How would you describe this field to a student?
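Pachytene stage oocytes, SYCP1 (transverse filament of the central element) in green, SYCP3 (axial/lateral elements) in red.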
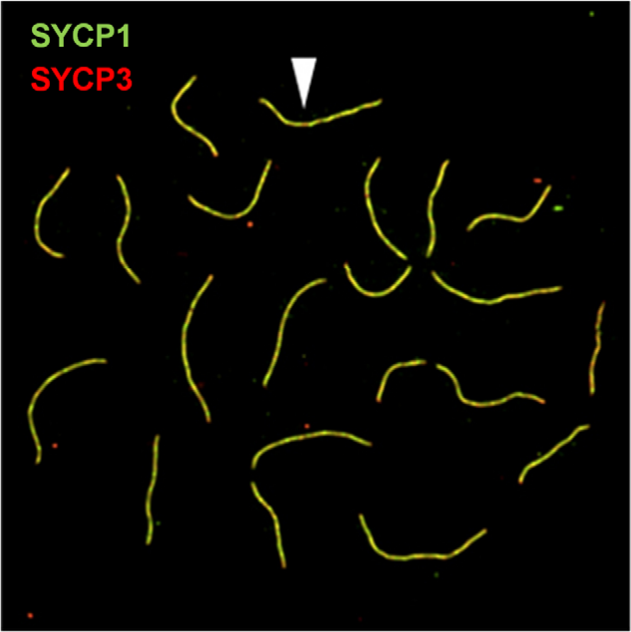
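The red and green labels overlap evenly along every thread, so the complexes look uniformly yellow from one end to the other. The arrowhead picks out one long complex lying near the top of the field.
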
